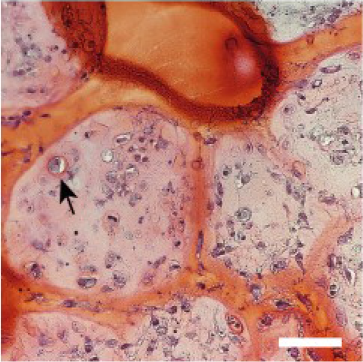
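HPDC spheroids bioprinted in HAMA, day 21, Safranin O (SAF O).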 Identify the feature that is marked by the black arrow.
lacunae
